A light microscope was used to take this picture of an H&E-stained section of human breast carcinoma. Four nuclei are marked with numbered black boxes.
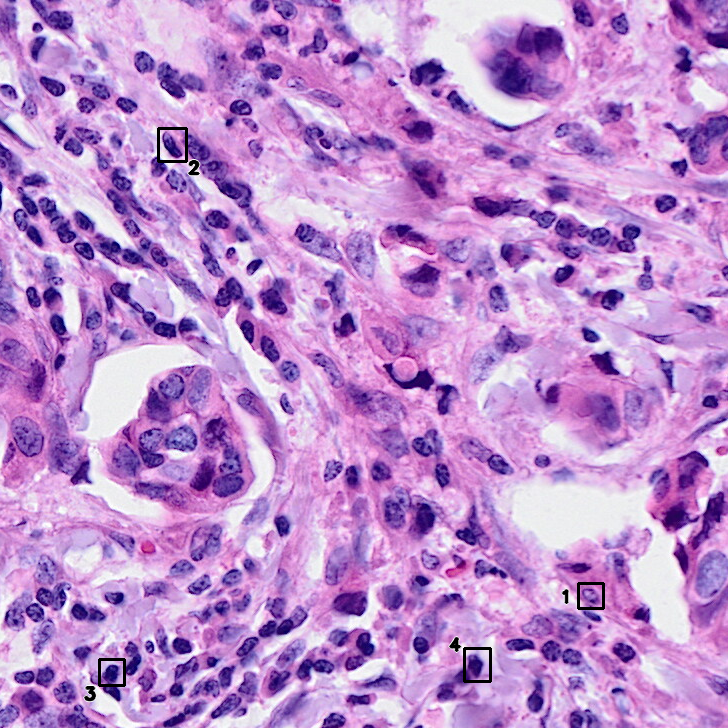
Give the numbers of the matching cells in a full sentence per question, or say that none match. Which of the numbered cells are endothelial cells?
Of the marked cells, the one numbered 1 is an endothelial cell and the rest are not.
